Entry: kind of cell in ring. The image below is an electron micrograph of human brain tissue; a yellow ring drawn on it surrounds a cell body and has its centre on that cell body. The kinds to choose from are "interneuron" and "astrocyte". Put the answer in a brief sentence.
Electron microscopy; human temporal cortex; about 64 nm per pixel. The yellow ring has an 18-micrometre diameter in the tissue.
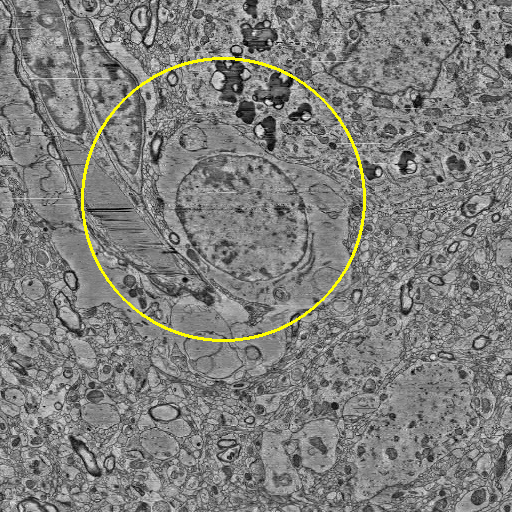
The ring has been drawn around an astrocyte.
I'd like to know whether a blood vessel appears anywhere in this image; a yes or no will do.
Yes, a vessel shows somewhere in the image.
